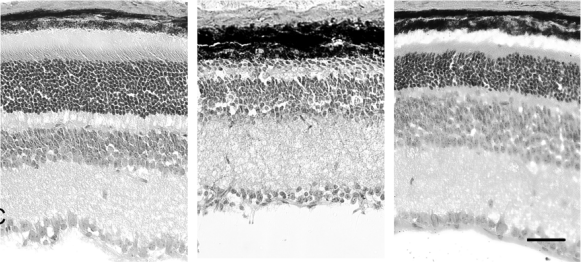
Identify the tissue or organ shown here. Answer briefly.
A: retinas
